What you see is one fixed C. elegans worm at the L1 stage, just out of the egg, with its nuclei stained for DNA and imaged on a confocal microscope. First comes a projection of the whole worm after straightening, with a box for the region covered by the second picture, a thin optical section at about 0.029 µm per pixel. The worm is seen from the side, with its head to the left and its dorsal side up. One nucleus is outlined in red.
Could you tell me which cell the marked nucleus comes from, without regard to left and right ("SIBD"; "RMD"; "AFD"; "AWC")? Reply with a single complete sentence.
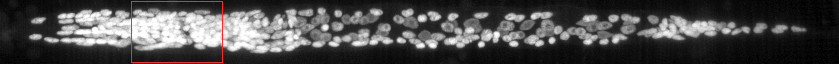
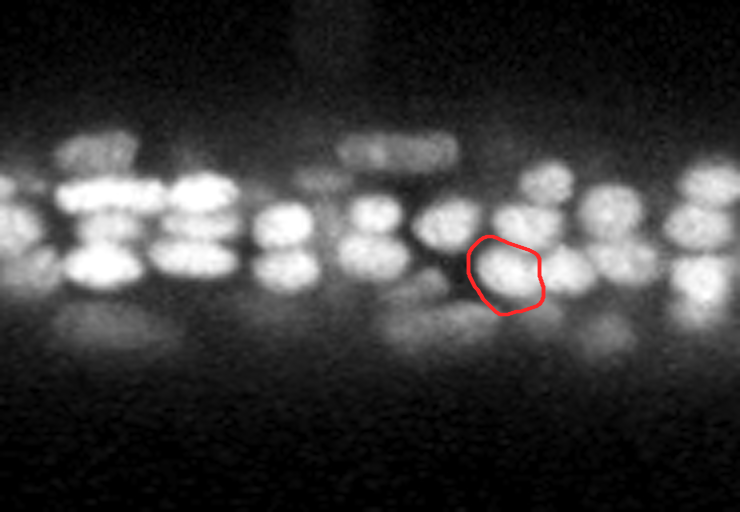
The marked nucleus belongs to RMD, a neuron.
